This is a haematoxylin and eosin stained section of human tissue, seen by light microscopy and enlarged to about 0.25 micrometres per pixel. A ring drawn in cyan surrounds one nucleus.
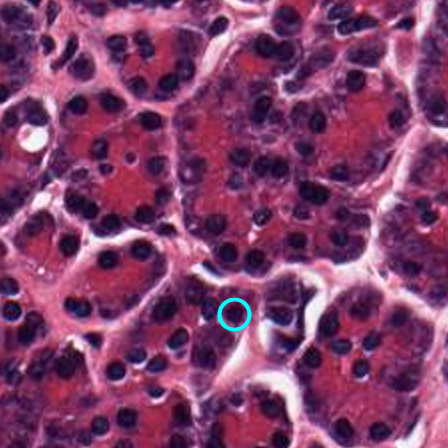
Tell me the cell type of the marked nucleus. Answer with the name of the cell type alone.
pancreatic acinar cell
